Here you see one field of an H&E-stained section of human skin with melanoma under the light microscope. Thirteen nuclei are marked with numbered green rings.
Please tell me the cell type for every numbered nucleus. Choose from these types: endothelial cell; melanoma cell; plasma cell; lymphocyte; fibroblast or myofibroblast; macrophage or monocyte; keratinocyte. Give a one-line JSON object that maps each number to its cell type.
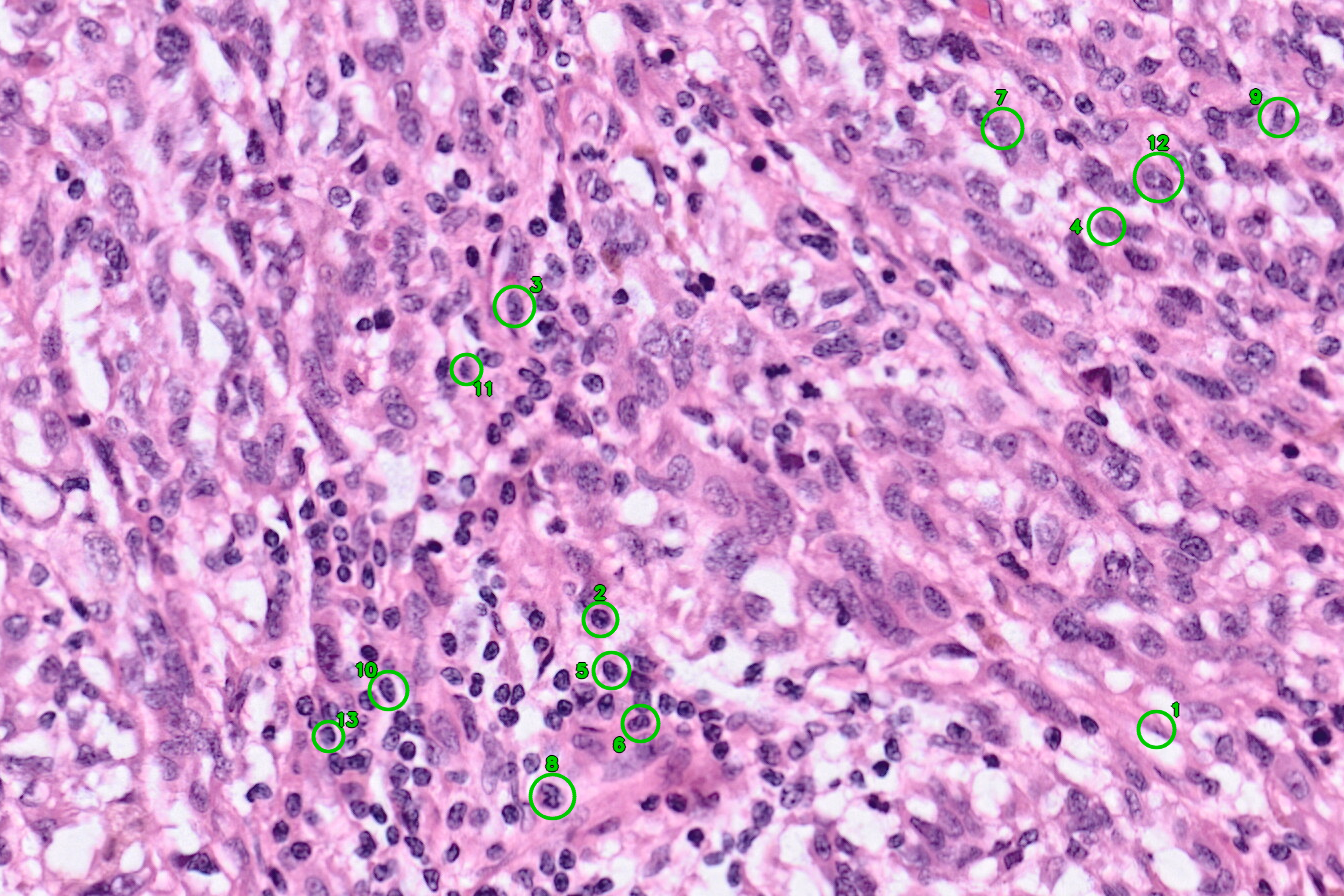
{"1": "endothelial cell", "2": "plasma cell", "3": "lymphocyte", "4": "melanoma cell", "5": "lymphocyte", "6": "lymphocyte", "7": "melanoma cell", "8": "plasma cell", "9": "melanoma cell", "10": "lymphocyte", "11": "lymphocyte", "12": "melanoma cell", "13": "lymphocyte"}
